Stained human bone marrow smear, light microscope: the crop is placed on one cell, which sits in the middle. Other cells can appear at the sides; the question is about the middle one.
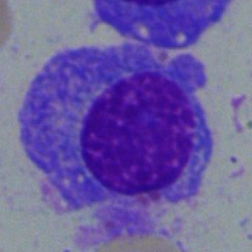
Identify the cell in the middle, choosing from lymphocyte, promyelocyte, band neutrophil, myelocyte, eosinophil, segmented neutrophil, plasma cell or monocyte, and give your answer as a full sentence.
As for the central cell, it is a plasma cell.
